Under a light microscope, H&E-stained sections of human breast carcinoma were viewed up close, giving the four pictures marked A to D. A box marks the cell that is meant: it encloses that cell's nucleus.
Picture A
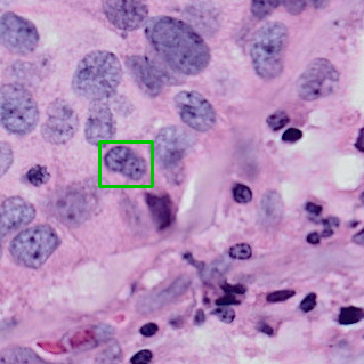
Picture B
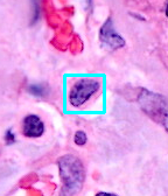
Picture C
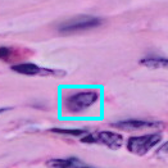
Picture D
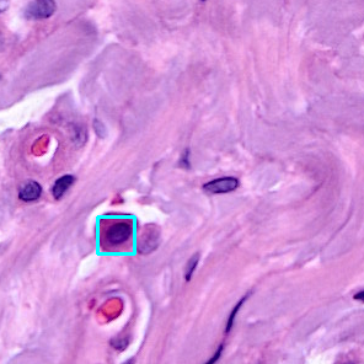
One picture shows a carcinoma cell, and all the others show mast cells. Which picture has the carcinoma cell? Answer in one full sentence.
Picture A shows the carcinoma cell.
